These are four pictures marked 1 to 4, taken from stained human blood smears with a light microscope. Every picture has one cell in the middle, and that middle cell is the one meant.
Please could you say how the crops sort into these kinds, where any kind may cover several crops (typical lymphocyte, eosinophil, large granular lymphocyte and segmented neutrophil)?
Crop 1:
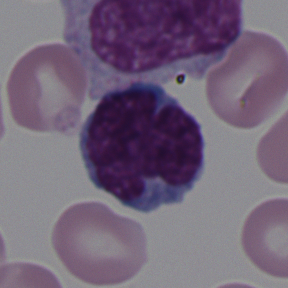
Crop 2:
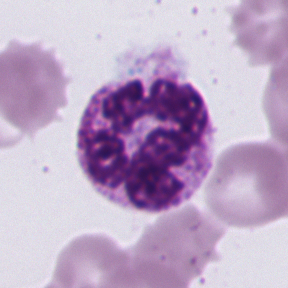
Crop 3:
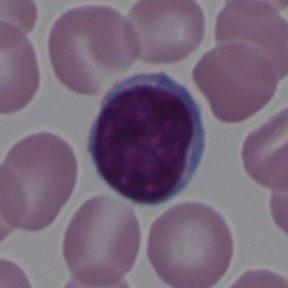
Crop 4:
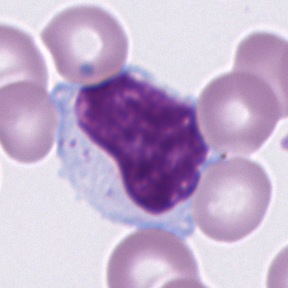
1: typical lymphocyte
2: segmented neutrophil
3: typical lymphocyte
4: large granular lymphocyte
